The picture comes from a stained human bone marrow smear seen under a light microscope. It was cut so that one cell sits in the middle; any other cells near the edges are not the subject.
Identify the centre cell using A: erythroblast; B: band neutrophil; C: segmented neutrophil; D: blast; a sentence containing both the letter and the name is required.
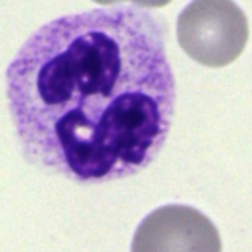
Option C correctly states that the central cell is a segmented neutrophil.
